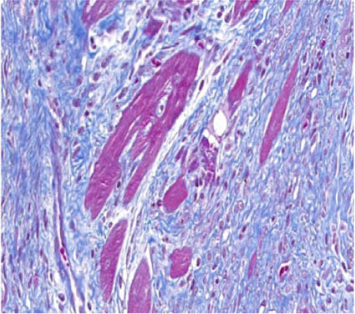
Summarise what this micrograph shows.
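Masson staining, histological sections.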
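Scar tissue with islands of myocytes: several elongated red-stained muscle fibre bundles lie embedded in blue-stained fibrous matrix. The surrounding matrix is made of wavy blue fibres with scattered small dark nuclei. A few small vessels and clear spaces are present between the fibres.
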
